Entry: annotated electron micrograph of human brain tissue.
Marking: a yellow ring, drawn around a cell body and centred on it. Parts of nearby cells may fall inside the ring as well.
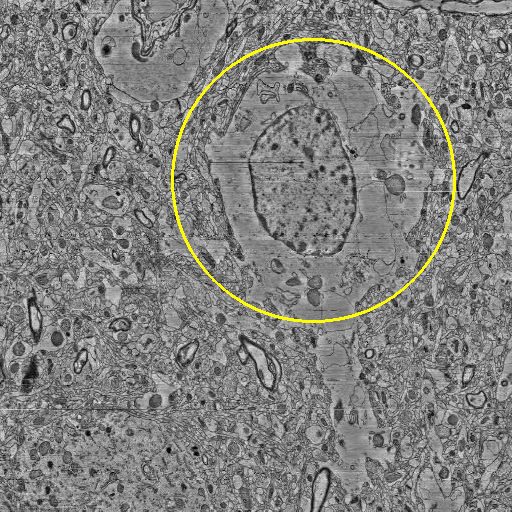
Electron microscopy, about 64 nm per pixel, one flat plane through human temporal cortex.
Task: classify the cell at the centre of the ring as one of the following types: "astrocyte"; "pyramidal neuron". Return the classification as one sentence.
The marked cell is classified as an astrocyte.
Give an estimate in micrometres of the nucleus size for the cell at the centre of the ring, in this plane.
In this plane the nucleus measures about 10 by 7 micrometres and is clearly longer than it is wide.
